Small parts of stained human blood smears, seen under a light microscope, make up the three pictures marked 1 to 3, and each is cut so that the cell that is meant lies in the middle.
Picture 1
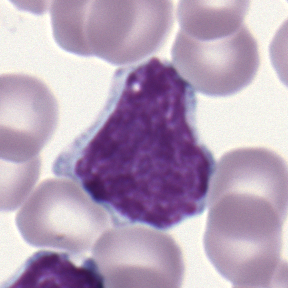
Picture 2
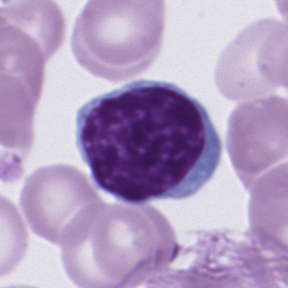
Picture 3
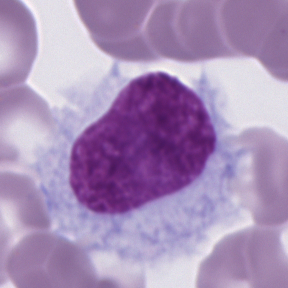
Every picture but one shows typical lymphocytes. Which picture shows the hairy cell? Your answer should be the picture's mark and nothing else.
3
